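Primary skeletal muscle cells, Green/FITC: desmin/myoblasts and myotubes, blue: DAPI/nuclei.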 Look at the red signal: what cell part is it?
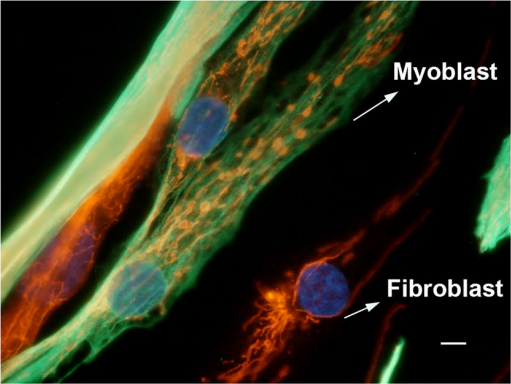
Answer: Mitochondria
